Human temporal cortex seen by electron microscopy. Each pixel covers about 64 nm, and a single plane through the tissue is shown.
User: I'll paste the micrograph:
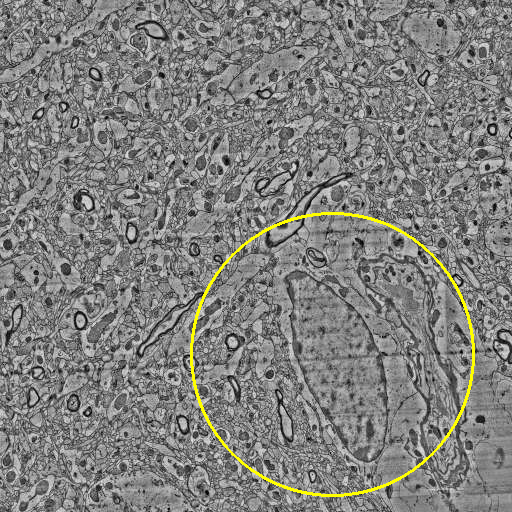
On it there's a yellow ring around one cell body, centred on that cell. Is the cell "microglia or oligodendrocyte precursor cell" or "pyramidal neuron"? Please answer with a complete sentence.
The cell ringed in yellow is a microglial cell or oligodendrocyte precursor cell.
